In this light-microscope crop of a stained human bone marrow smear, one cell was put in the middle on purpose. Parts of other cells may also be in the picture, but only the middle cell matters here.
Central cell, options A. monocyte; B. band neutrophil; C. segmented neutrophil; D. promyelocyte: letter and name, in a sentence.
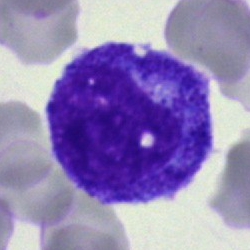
The cell centred in the crop is a promyelocyte, and the correct option is thus D.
